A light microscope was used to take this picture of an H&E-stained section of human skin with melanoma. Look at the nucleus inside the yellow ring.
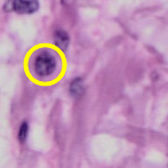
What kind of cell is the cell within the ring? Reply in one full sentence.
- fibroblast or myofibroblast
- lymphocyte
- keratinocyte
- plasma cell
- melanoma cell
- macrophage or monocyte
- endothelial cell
As to its cell type, the cell within the ring is a plasma cell.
